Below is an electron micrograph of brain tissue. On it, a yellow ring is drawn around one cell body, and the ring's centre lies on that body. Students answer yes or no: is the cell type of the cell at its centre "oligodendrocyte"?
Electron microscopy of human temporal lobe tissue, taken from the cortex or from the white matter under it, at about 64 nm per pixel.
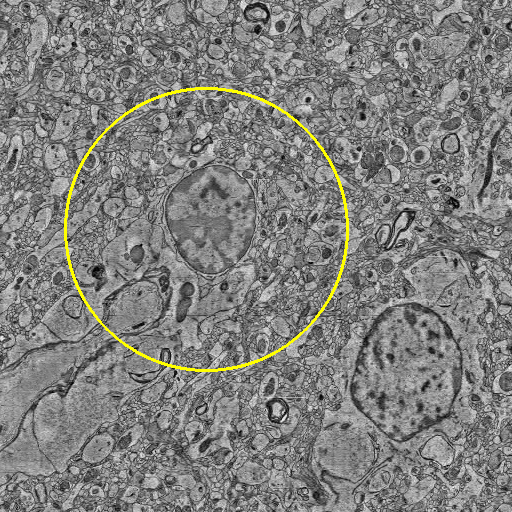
no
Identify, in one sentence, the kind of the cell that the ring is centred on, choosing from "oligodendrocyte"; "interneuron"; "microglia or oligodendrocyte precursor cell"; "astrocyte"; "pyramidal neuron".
Instead, the cell inside the ring is a microglial cell or oligodendrocyte precursor cell.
